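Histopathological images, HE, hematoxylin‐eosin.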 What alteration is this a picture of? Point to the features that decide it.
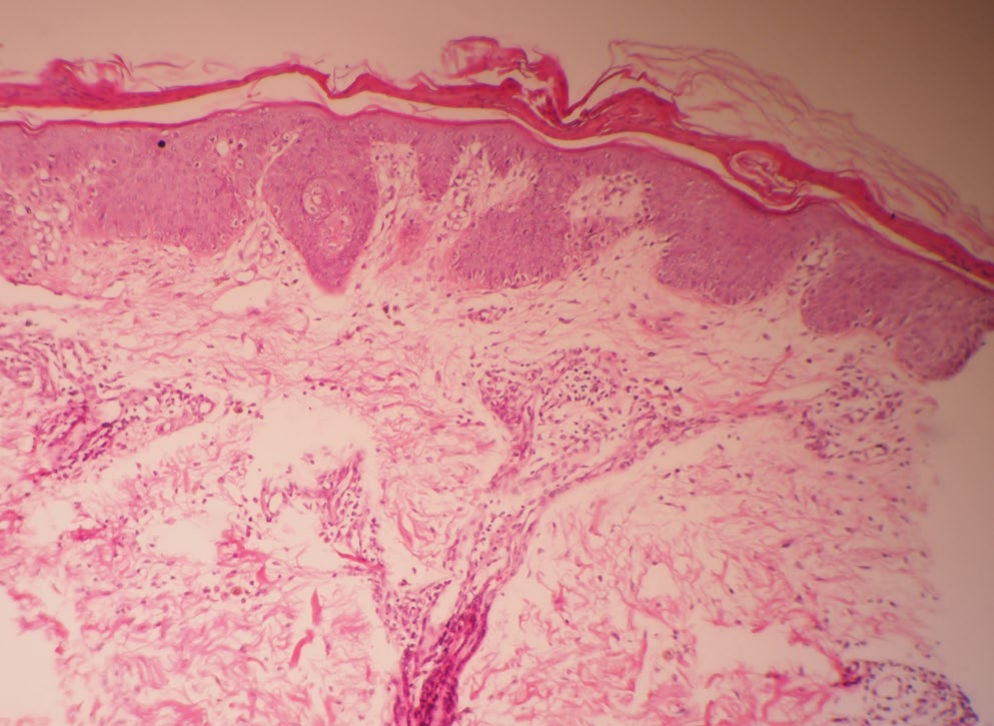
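Clusters of small dark nuclei gather around vessels in the upper dermis. A vessel running down through the dermis is cuffed by dense dark nuclei. The answer: superficial perivascular infiltration.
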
